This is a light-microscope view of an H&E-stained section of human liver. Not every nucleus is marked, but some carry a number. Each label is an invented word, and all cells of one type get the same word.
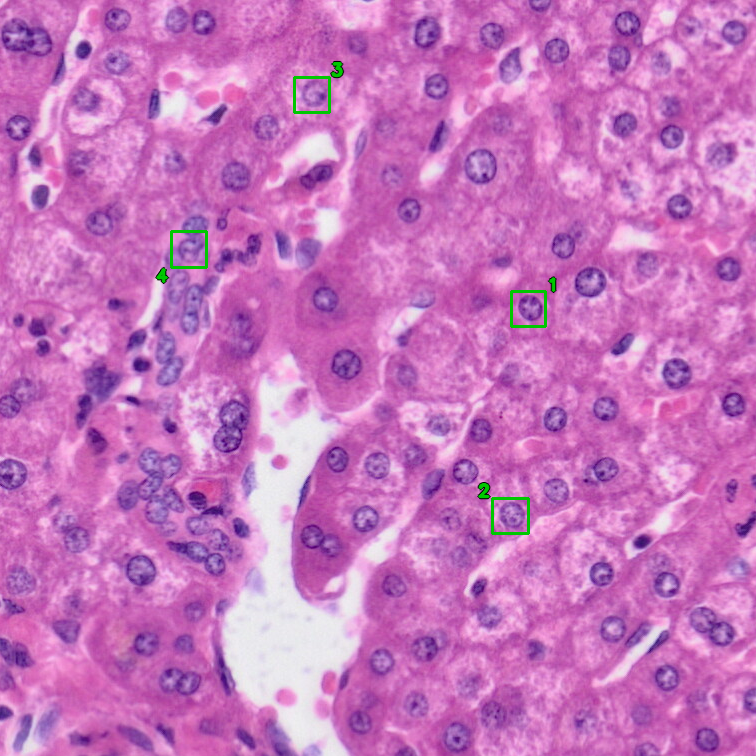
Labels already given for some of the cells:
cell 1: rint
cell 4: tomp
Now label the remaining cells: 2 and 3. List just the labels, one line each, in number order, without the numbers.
rint
rint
